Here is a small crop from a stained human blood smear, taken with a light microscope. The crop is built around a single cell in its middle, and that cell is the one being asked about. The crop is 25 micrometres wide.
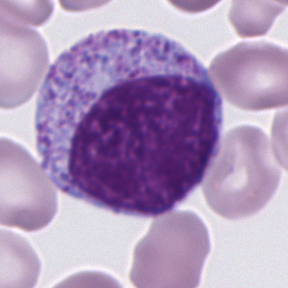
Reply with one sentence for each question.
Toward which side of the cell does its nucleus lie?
It is shifted toward the lower right of the cell.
